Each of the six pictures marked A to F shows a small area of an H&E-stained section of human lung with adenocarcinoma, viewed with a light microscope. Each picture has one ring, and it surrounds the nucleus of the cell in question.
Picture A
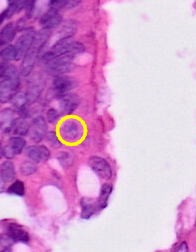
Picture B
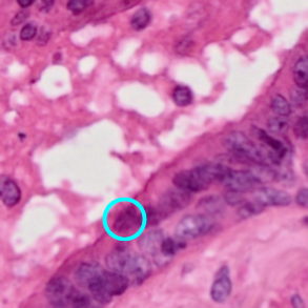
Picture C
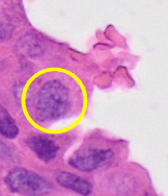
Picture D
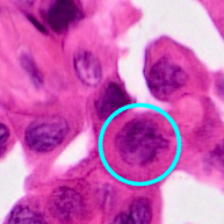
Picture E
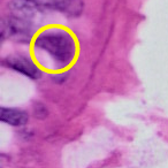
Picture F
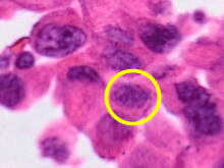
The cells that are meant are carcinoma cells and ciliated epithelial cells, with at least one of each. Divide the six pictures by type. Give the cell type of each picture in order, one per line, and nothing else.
ciliated epithelial cell
ciliated epithelial cell
carcinoma cell
carcinoma cell
ciliated epithelial cell
carcinoma cell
